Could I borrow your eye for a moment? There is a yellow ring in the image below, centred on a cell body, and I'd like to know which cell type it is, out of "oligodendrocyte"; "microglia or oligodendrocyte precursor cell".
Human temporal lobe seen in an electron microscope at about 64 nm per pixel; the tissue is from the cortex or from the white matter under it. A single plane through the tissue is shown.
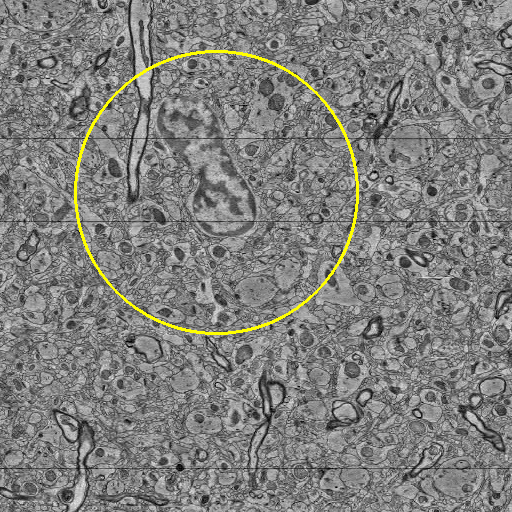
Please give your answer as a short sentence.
The cell body at the centre is that of a microglial cell or oligodendrocyte precursor cell.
